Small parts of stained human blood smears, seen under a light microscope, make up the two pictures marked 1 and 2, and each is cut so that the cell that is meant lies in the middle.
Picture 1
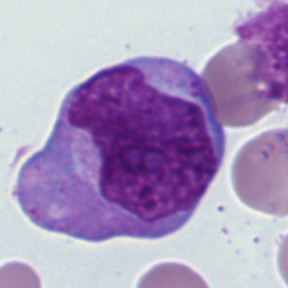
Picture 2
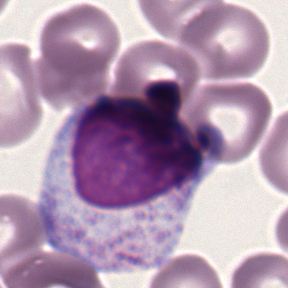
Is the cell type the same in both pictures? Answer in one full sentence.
No; the cell in picture 1 is an atypical promyelocyte, while the one in picture 2 is a myelocyte.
